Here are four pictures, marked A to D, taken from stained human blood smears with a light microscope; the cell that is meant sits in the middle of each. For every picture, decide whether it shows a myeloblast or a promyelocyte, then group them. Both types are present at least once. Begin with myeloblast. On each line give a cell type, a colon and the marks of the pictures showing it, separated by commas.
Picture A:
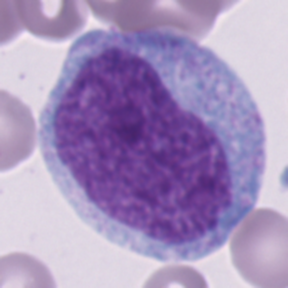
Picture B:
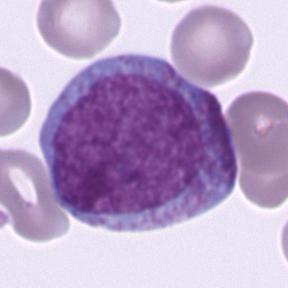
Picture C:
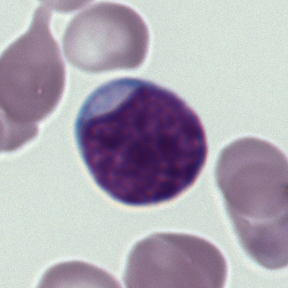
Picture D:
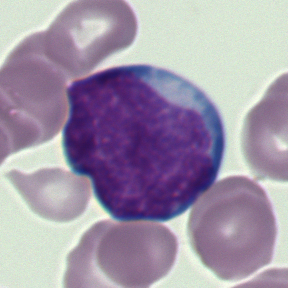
myeloblast: C, D
promyelocyte: A, B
